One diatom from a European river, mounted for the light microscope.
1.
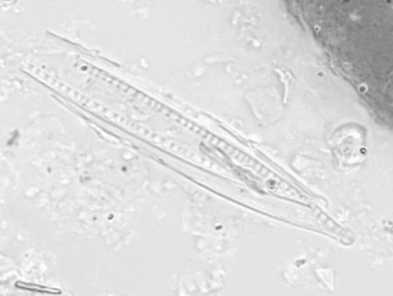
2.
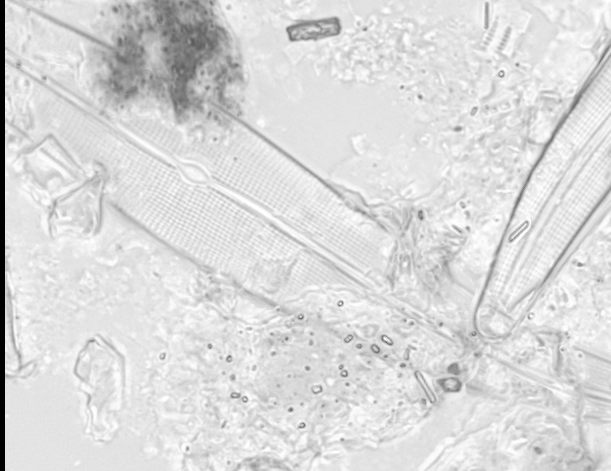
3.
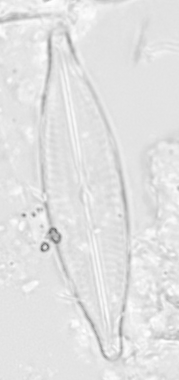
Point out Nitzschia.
That is picture 1.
